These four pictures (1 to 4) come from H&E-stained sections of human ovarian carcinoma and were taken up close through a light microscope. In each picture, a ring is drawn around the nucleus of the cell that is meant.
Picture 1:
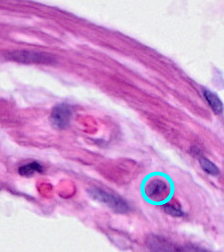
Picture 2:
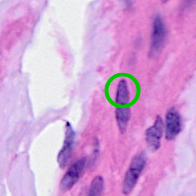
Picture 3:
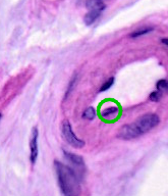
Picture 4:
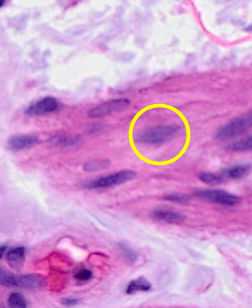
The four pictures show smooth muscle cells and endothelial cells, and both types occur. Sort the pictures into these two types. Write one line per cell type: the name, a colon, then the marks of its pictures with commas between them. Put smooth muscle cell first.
smooth muscle cell: 2, 4
endothelial cell: 1, 3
